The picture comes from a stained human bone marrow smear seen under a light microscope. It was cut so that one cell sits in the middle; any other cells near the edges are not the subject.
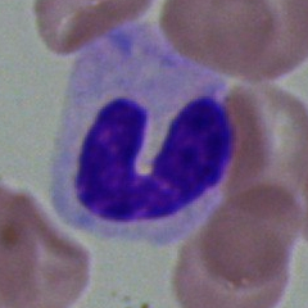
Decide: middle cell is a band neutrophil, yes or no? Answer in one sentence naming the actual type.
Yes, the crop is centred on a band neutrophil.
